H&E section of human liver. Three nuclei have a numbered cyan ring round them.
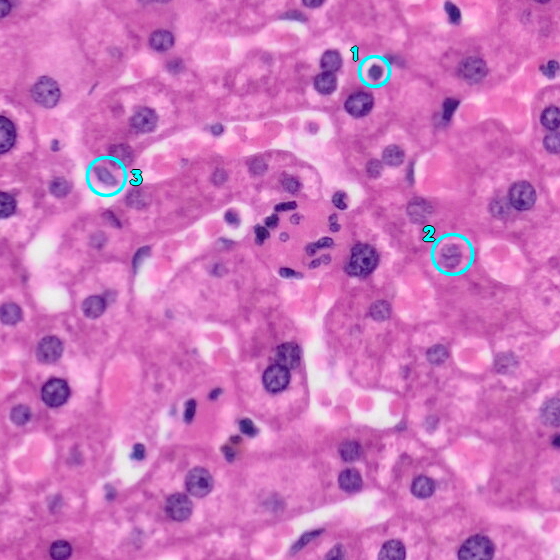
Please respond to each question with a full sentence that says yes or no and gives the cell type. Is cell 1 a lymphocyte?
Yes, it is a lymphocyte that number 1 identifies.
